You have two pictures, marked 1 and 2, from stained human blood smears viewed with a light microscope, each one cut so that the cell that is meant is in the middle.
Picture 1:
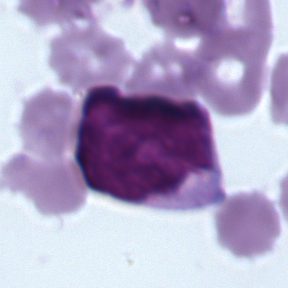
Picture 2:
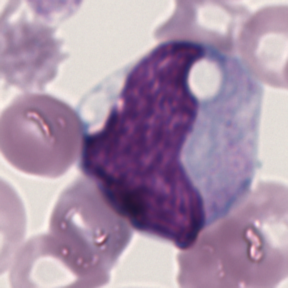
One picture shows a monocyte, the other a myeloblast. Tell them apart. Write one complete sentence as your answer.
It is picture 1 that shows a myeloblast, and picture 2 that shows a monocyte.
